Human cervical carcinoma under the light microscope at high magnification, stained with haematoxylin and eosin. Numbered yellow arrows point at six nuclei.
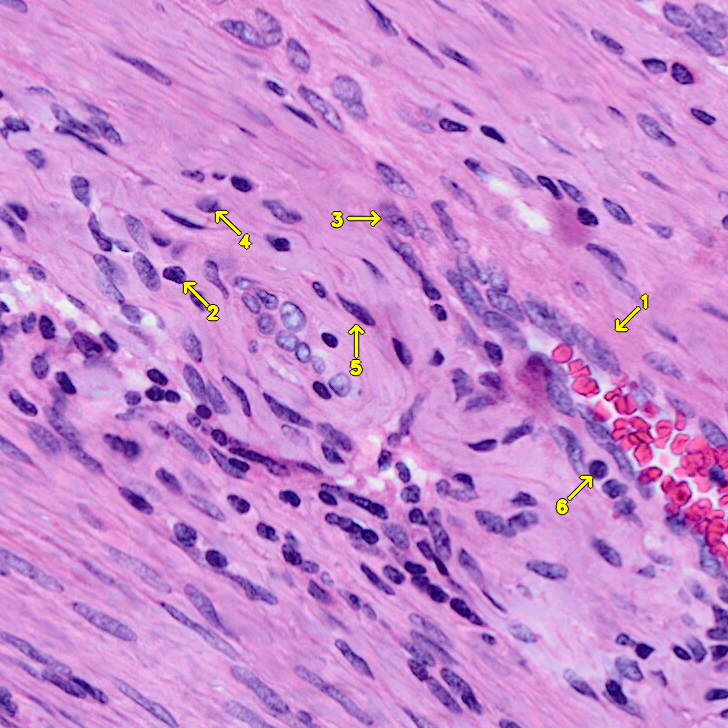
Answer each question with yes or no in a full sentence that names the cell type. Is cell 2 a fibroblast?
No, the marked cell 2 is not a fibroblast, being instead a lymphocyte.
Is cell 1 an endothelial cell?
Yes, of the numbered cells, number 1 is an endothelial cell.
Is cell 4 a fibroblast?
Yes, the numbered nucleus 4 is that of a fibroblast.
